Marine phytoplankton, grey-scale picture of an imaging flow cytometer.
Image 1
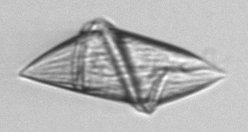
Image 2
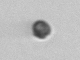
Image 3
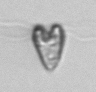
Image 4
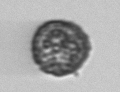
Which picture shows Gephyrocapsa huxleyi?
Picture 2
